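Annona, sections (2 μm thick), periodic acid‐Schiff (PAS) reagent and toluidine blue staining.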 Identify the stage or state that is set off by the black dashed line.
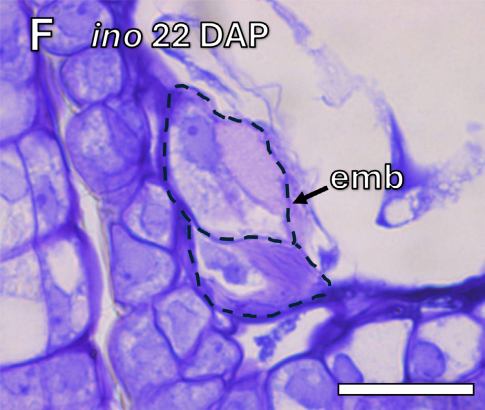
two‐celled embryo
